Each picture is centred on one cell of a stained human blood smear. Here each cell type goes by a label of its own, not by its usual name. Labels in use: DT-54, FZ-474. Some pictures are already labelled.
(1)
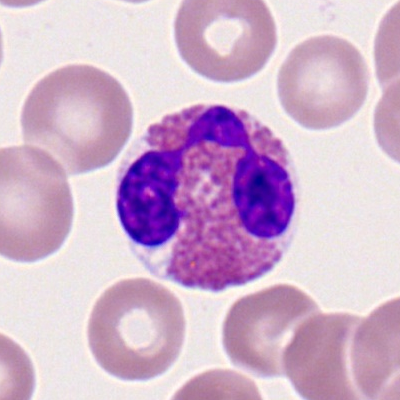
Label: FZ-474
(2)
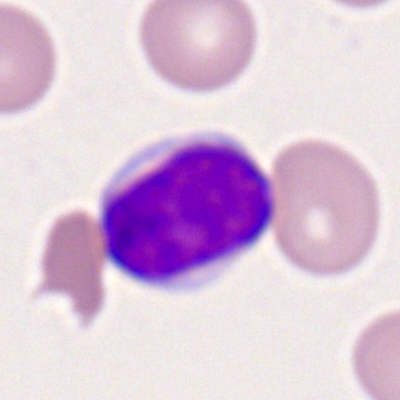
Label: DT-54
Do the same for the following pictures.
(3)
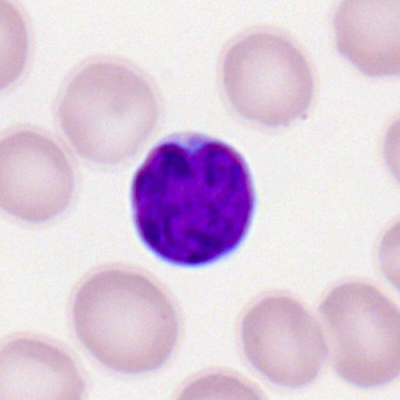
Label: DT-54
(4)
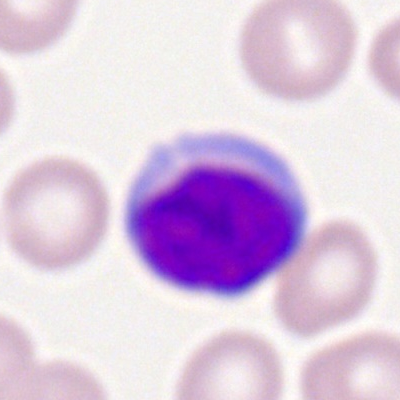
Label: DT-54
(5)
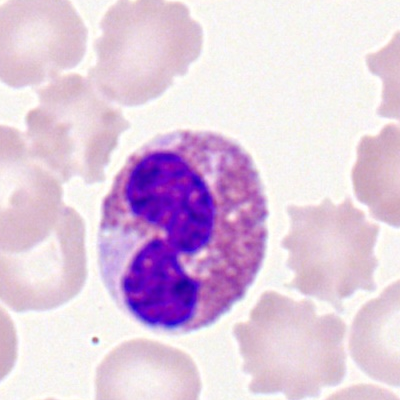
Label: FZ-474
